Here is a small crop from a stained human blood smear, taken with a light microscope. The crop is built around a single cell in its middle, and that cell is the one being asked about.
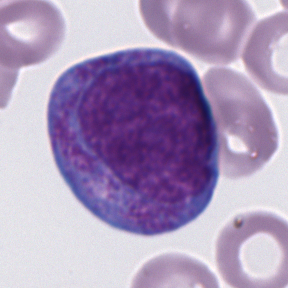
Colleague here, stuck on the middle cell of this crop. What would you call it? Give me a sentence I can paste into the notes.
The single cell at the center of the crop is a promyelocyte.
